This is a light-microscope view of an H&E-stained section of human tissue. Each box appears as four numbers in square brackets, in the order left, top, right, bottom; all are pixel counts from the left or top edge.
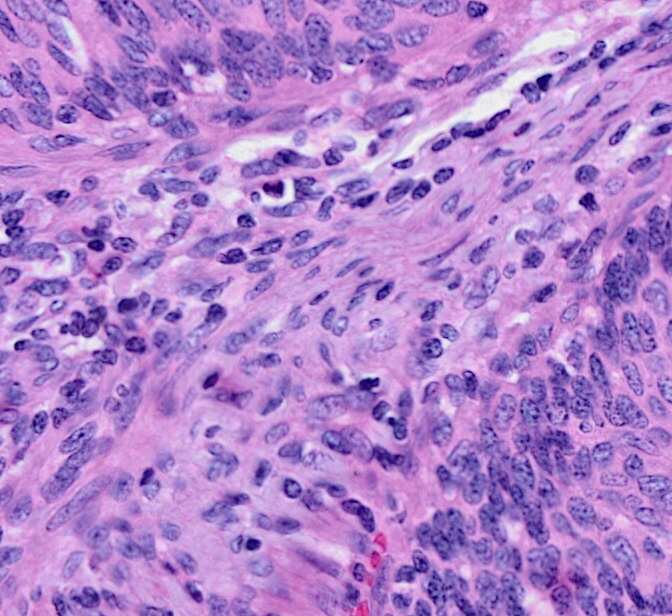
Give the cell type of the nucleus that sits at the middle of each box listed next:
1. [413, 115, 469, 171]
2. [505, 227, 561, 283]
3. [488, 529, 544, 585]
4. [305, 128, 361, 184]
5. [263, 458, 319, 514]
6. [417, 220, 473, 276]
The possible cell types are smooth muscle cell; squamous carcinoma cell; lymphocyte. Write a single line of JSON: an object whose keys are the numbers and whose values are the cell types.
{"1": "lymphocyte", "2": "lymphocyte", "3": "squamous carcinoma cell", "4": "lymphocyte", "5": "lymphocyte", "6": "smooth muscle cell"}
